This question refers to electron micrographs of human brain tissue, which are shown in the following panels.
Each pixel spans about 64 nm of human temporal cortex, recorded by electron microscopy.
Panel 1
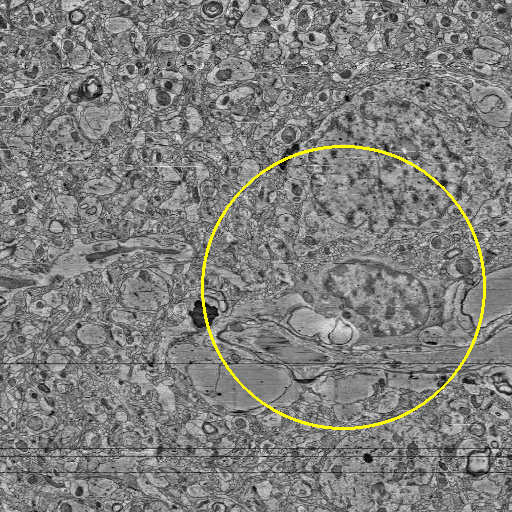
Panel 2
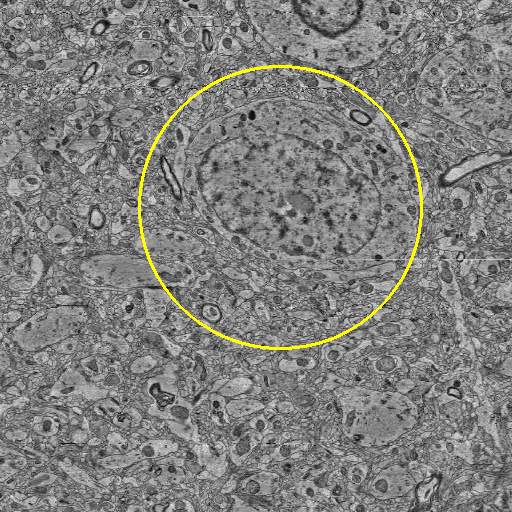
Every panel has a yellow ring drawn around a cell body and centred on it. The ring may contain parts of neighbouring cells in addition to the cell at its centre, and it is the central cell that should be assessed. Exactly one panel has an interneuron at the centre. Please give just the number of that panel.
2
